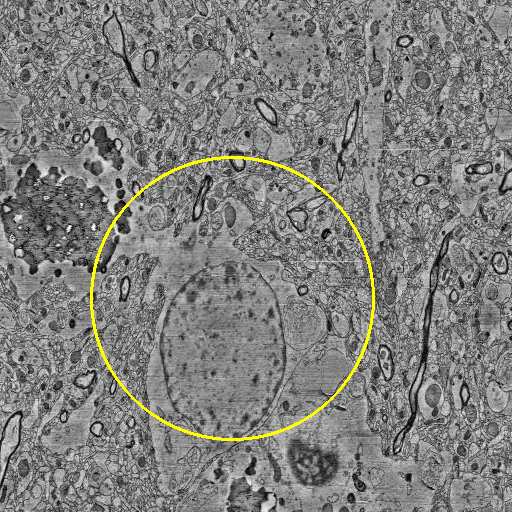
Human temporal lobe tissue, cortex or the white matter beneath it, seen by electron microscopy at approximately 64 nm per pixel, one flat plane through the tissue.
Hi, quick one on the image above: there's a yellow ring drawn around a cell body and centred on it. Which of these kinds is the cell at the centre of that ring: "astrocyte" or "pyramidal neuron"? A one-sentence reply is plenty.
The cell at the centre of the ring is an astrocyte.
